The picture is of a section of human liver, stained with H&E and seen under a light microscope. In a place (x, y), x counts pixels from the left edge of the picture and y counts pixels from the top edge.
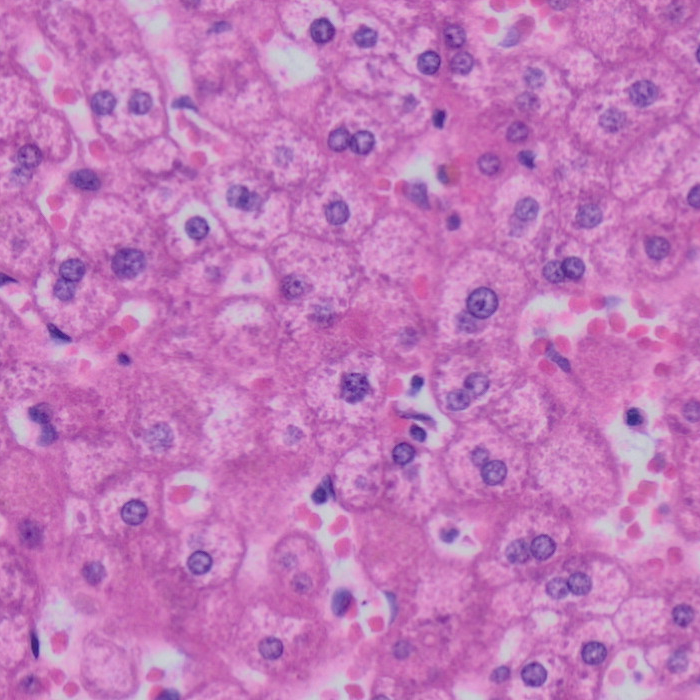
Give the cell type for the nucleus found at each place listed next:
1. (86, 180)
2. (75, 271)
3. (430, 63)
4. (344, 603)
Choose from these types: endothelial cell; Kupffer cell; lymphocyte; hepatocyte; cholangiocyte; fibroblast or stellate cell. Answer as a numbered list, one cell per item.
1. Kupffer cell
2. hepatocyte
3. hepatocyte
4. endothelial cell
